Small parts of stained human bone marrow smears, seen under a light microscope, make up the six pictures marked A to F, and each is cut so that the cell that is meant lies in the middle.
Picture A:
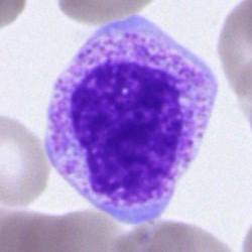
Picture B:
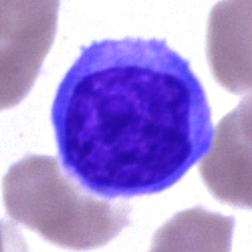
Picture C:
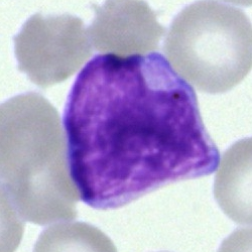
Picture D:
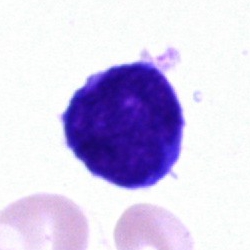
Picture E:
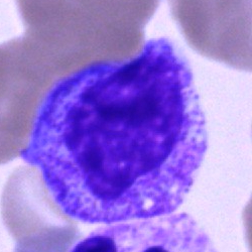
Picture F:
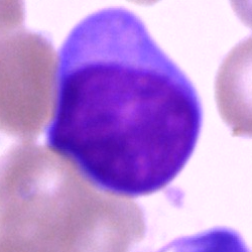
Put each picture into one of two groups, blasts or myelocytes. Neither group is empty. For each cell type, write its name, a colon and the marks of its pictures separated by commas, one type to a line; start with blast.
blast: B, C, D, F
myelocyte: A, E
